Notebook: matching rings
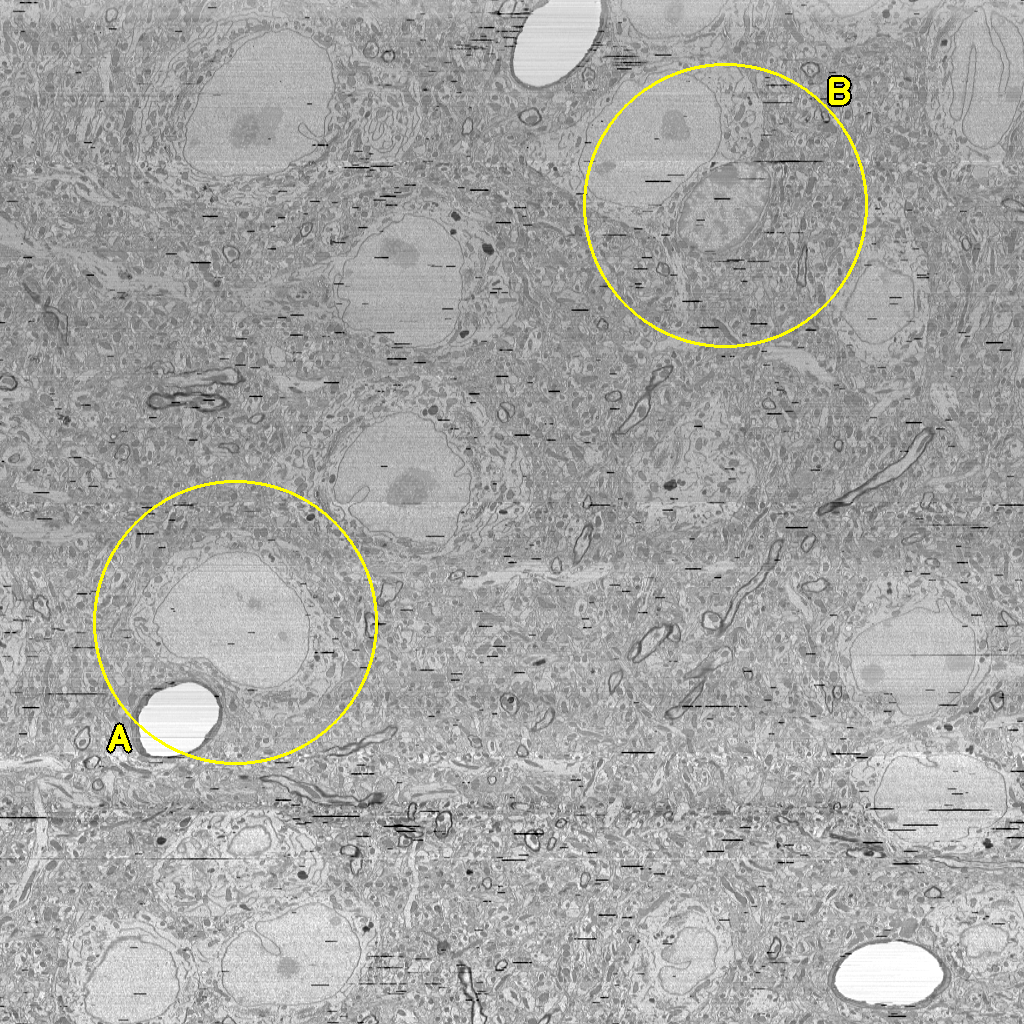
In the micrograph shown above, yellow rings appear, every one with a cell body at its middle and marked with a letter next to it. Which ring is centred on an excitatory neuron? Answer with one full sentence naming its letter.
A cell of that kind lies at the centre of the ring lettered A.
